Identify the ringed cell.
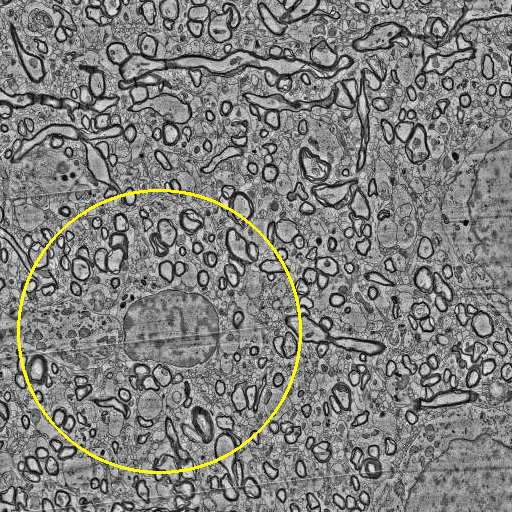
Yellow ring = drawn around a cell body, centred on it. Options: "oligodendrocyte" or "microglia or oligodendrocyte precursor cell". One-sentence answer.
What the ring is centred on is a microglial cell or oligodendrocyte precursor cell.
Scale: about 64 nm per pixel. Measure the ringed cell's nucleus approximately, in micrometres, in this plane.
In this plane, approximately 6 by 5 micrometers.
